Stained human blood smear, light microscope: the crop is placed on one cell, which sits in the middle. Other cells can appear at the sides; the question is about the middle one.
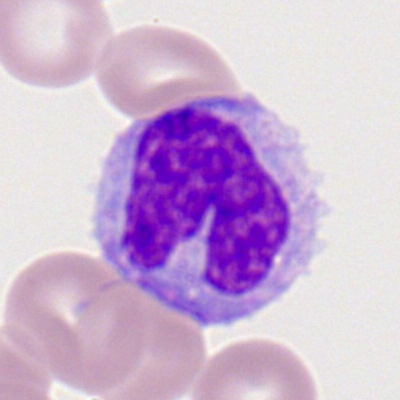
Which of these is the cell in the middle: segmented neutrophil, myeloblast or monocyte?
monocyte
